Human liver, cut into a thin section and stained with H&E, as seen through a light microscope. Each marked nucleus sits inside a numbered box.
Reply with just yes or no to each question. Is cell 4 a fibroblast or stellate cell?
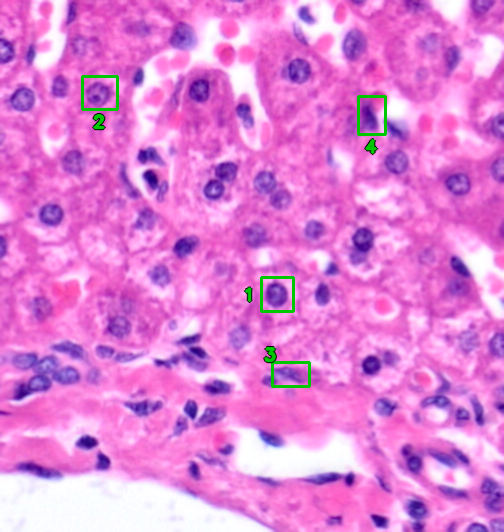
yes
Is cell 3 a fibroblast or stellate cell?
yes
